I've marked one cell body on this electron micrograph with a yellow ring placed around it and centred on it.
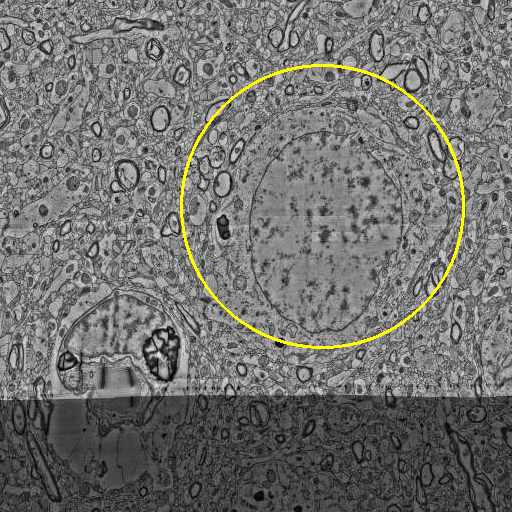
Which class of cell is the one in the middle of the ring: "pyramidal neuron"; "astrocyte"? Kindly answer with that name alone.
pyramidal neuron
